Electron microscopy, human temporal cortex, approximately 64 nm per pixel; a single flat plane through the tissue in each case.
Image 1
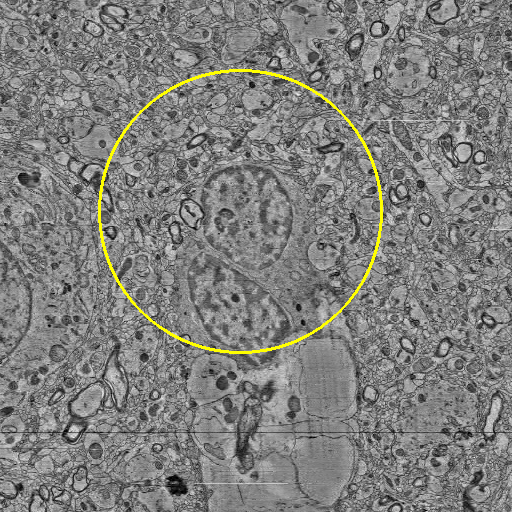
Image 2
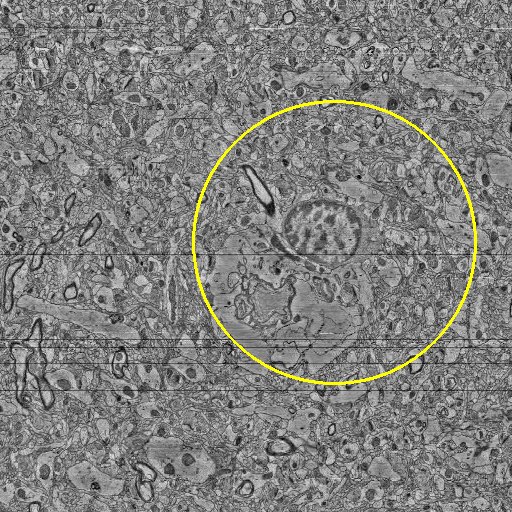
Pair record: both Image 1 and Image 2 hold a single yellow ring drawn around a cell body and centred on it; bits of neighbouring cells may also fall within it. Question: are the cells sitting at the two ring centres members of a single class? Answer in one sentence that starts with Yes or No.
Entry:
Yes, both ring-centre cells in Image 1 and Image 2 are members of one class.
